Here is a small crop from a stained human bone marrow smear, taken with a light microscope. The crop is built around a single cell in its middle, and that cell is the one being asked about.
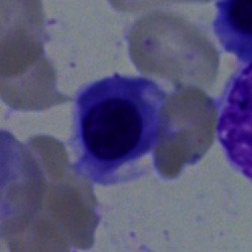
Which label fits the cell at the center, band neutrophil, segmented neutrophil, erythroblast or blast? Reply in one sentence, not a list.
Regarding the central cell, it is an erythroblast.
